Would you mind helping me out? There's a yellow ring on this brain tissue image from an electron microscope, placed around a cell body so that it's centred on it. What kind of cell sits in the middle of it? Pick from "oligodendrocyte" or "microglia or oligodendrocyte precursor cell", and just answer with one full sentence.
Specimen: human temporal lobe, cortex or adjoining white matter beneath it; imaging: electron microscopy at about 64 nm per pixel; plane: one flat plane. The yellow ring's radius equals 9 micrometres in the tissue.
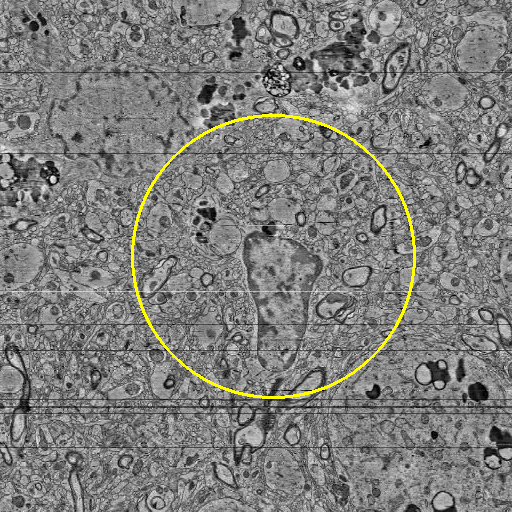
What sits in the middle of that yellow ring is a microglial cell or oligodendrocyte precursor cell, from your choices.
